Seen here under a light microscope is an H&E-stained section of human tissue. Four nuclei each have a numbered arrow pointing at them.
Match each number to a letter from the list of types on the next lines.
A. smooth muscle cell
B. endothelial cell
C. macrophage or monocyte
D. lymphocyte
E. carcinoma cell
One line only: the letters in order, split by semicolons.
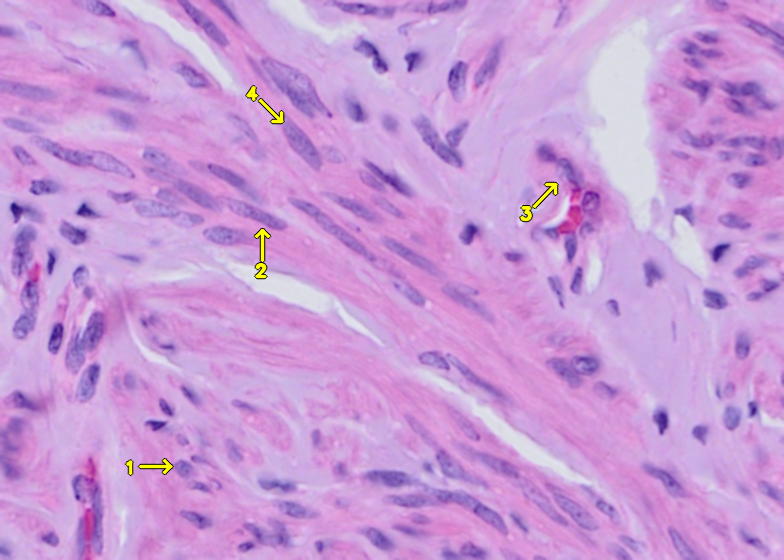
A; A; B; A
